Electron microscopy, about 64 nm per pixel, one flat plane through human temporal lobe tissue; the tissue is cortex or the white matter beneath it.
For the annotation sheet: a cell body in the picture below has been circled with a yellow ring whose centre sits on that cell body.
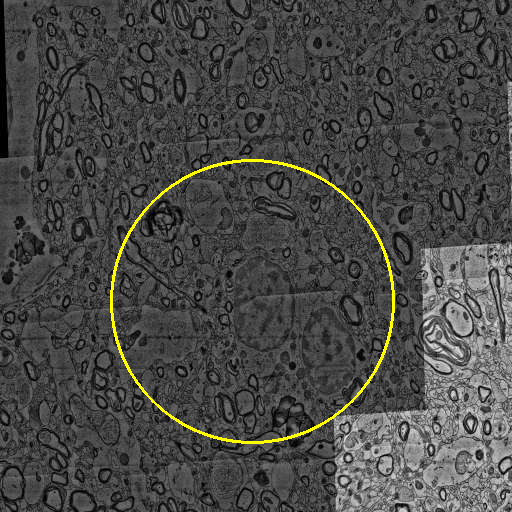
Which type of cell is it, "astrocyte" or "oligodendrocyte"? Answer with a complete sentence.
The circled cell is an oligodendrocyte.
